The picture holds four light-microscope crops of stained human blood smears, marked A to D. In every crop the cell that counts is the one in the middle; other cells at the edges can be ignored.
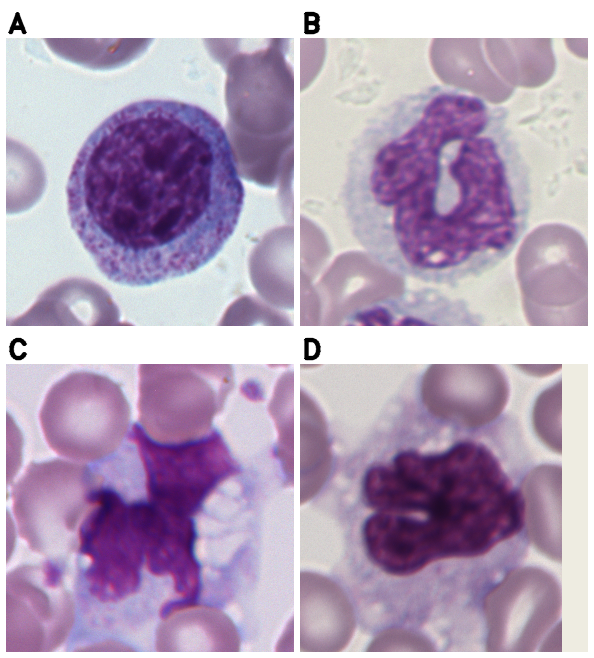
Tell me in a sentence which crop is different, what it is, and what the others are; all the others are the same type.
Crop A does not fit, being a promyelocyte where all the others show monocytes.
